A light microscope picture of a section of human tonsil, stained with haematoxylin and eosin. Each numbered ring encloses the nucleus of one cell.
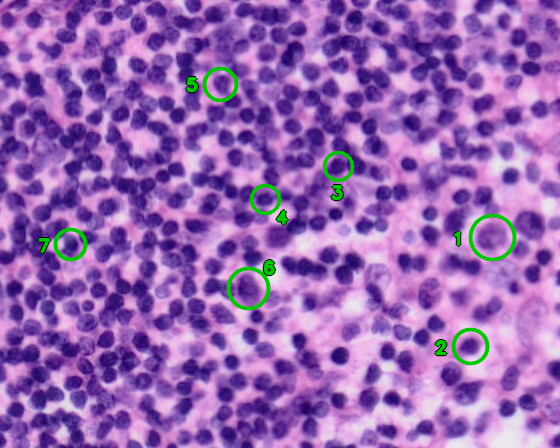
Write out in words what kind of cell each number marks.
Cells 1, 2 and 6 are proliferating B cells. Cells 3, 4, 5 and 7 are small lymphocytes.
